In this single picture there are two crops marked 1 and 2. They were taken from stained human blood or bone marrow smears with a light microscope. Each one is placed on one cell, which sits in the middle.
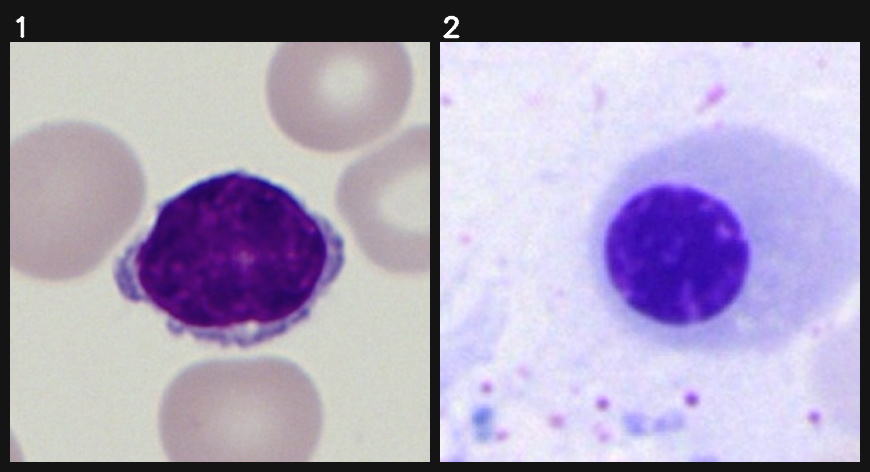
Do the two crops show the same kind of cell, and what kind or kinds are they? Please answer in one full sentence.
No, a lymphocyte is the cell in crop 1; a normoblast is the cell in crop 2.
